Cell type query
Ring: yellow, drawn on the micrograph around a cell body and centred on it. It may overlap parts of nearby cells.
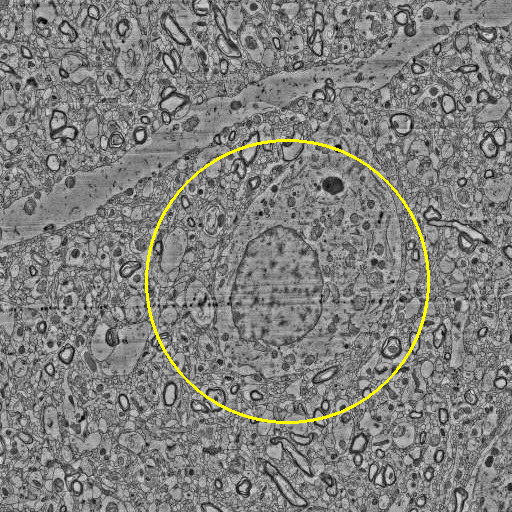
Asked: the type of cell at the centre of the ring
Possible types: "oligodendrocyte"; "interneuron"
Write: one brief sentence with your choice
The ring marks an interneuron.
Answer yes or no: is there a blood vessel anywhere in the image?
No.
